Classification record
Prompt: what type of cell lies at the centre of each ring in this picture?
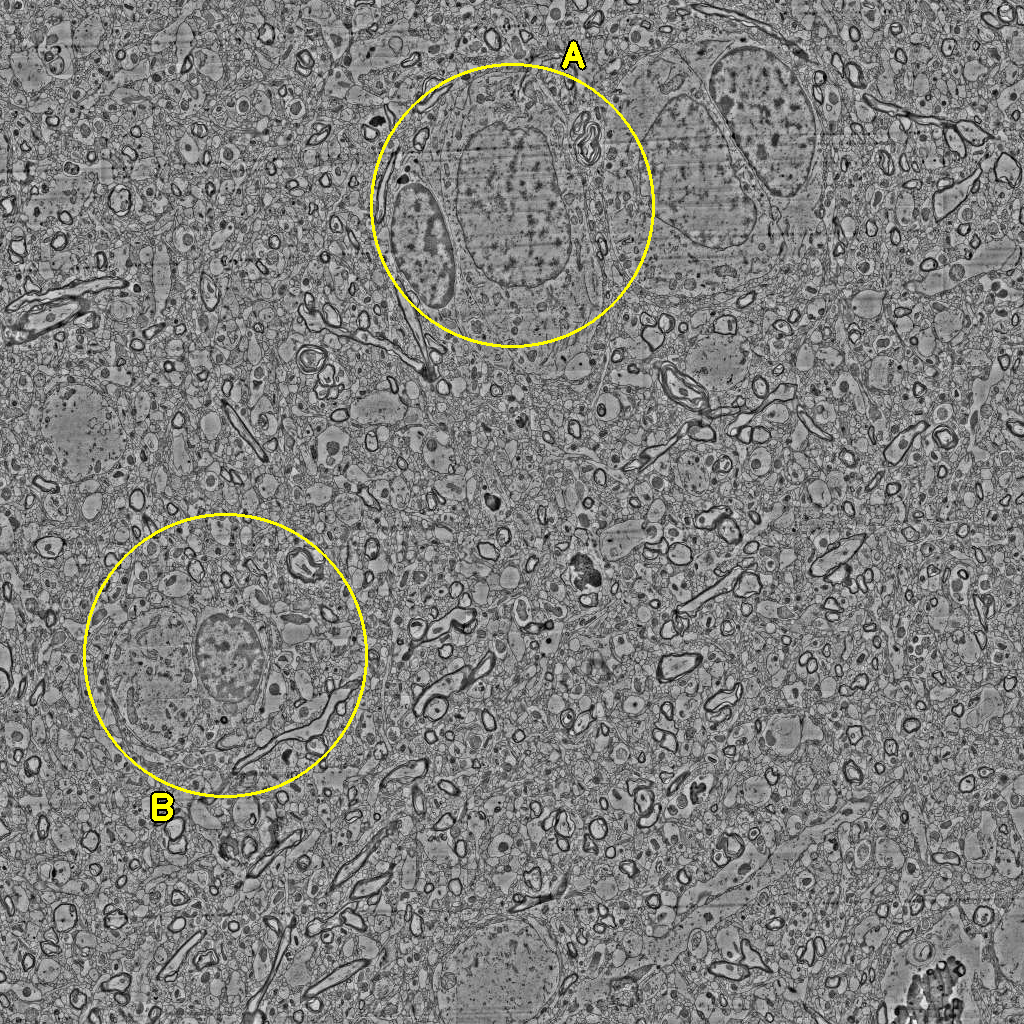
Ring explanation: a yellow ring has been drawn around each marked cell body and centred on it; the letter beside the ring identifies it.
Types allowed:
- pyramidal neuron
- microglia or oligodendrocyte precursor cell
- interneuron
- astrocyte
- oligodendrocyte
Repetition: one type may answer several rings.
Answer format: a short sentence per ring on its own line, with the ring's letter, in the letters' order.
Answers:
Ring A shows an interneuron at its centre.
Ring B shows an oligodendrocyte at its centre.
